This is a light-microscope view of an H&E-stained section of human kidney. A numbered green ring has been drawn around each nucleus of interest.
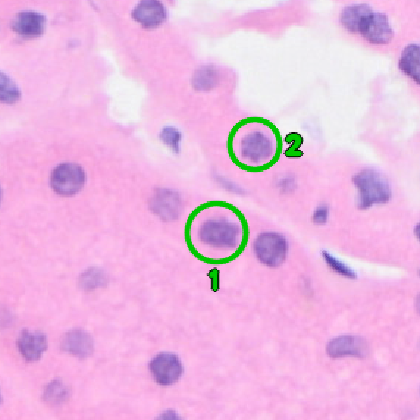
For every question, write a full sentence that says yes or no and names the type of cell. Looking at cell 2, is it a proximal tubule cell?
No, the correct answer for cell 2 is a loop of Henle or distal tubule cell, not a proximal tubule cell.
